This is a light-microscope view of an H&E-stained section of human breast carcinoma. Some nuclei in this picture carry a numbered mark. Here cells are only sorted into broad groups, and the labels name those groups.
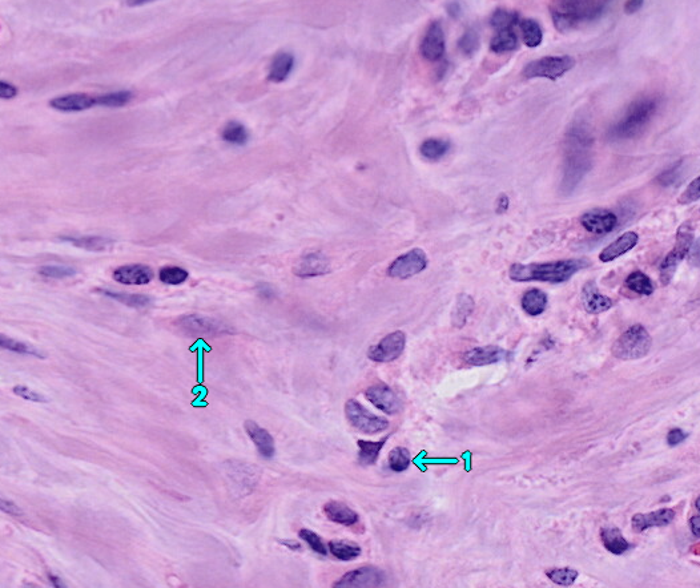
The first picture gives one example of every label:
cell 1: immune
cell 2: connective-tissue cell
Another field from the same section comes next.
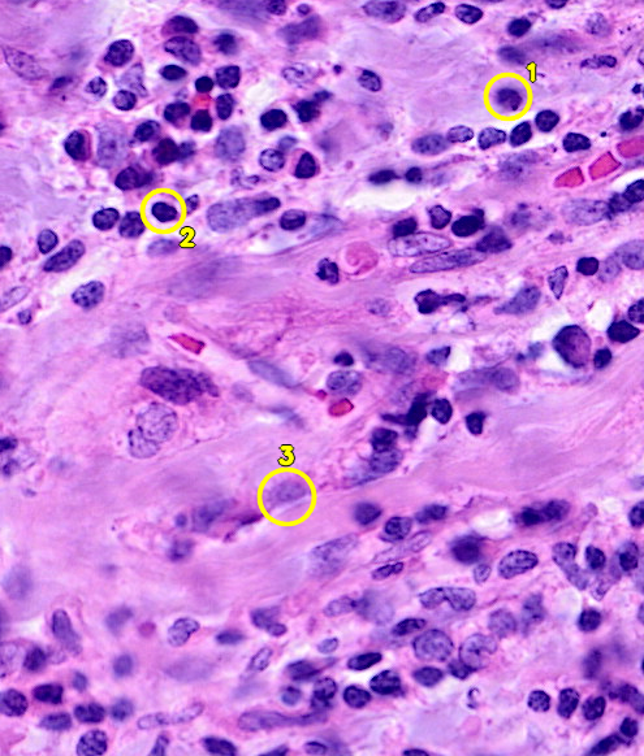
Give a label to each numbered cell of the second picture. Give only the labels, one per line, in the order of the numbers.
immune
immune
connective-tissue cell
